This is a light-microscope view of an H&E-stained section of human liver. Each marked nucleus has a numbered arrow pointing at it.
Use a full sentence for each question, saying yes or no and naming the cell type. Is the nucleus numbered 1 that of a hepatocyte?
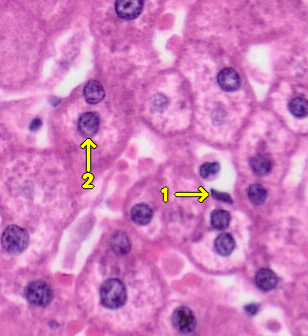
No, the cell marked 1 is an endothelial cell rather than a hepatocyte.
